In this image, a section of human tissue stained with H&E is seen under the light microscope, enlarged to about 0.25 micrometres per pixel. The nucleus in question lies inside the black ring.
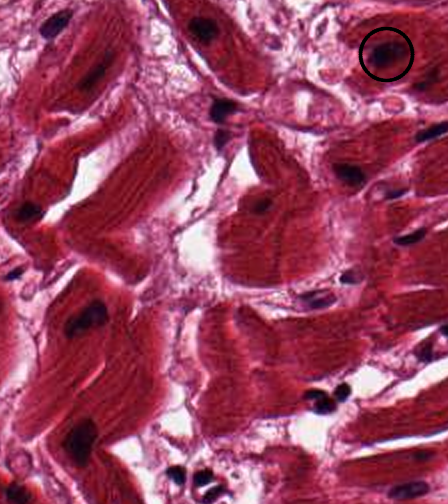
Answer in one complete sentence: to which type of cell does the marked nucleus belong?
The nucleus marked in the section is that of a cardiomyocyte.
